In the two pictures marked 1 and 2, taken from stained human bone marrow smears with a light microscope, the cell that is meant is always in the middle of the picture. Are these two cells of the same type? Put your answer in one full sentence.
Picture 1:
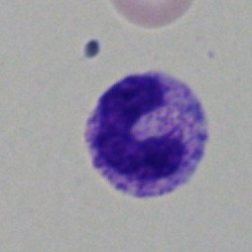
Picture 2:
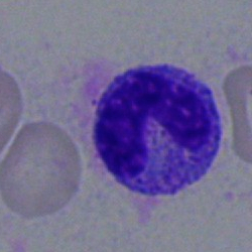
Yes; the cells in both pictures are band neutrophils.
